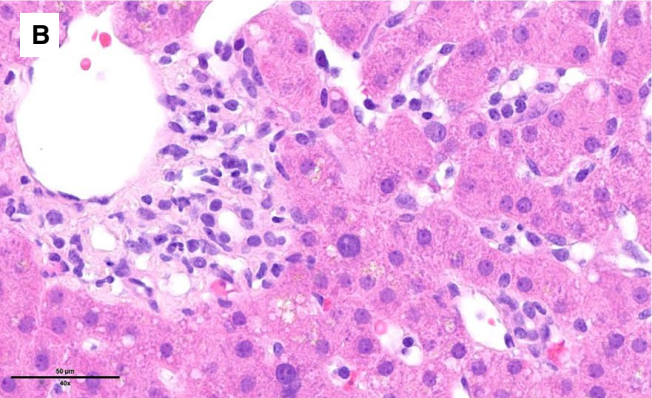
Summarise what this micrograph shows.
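This is liver at high power, with plates of large hepatocytes having abundant pink granular cytoplasm and round nuclei, some of them large. Next to a vessel lumen at the upper left lies a small aggregate of lymphoid cells with dark, slightly irregular nuclei and scant cytoplasm.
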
